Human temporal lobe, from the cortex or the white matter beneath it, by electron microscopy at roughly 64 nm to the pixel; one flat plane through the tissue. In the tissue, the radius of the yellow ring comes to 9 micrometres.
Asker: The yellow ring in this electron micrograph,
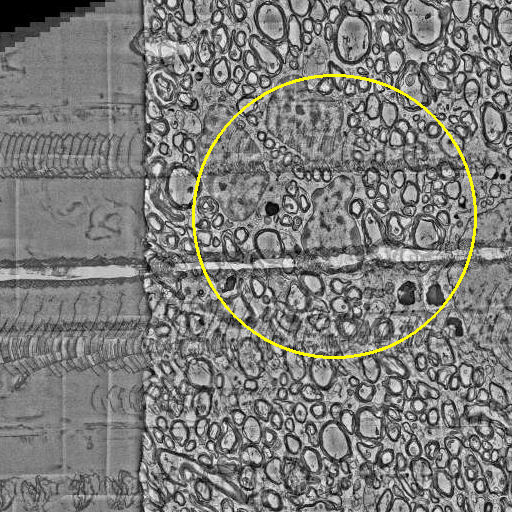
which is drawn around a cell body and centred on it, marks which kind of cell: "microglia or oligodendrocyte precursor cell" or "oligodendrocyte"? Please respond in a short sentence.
The marked cell is a microglial cell or oligodendrocyte precursor cell.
